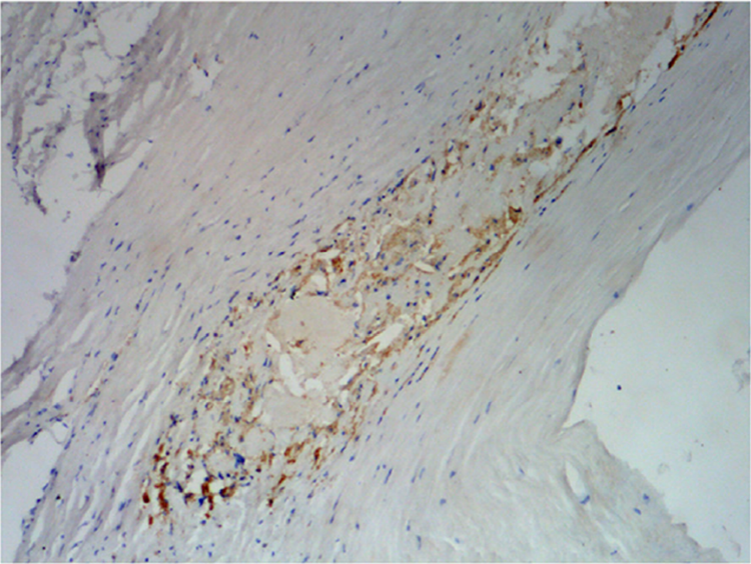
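A broad band of pale, layered fibrous tissue runs diagonally across the field, dotted with sparse, elongated blue nuclei. Within it lies a pale, largely acellular core with cleft-like empty spaces. The brown-stained cells crowd around this core and stream along its edges, with the densest clusters at the lower end. Elsewhere the fibrous tissue stays largely unstained apart from its blue nuclei.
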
